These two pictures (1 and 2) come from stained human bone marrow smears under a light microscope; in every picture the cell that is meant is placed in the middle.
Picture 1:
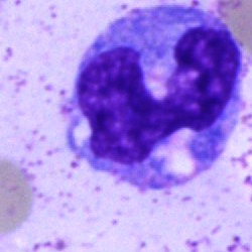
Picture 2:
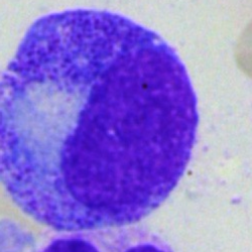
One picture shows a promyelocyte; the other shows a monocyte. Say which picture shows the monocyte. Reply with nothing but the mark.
1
